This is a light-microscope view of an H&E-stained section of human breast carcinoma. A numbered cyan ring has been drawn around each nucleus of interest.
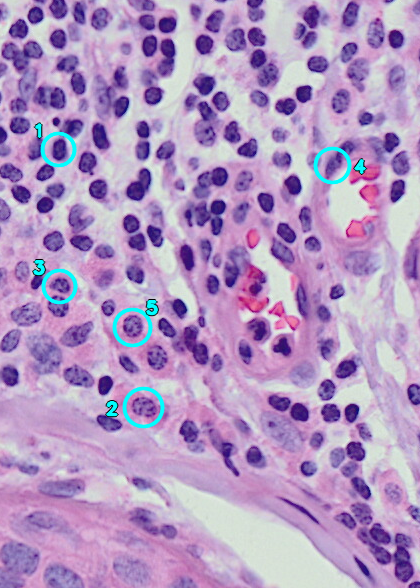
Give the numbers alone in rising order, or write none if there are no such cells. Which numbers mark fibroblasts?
none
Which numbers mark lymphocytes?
1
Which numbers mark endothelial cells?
4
